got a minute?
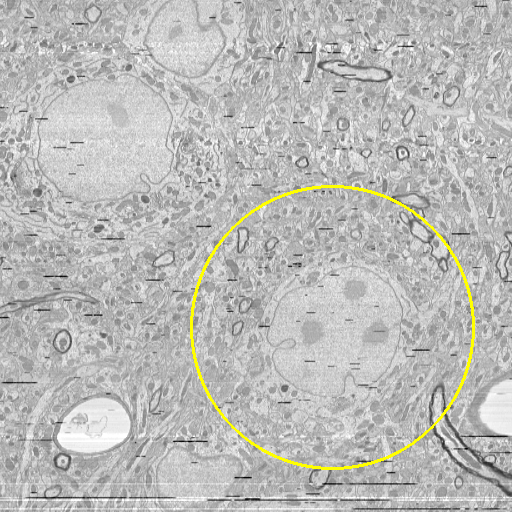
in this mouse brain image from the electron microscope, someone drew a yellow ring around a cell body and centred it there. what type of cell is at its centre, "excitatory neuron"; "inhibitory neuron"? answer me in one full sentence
It's an excitatory neuron at the middle of that yellow ring in the shot.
